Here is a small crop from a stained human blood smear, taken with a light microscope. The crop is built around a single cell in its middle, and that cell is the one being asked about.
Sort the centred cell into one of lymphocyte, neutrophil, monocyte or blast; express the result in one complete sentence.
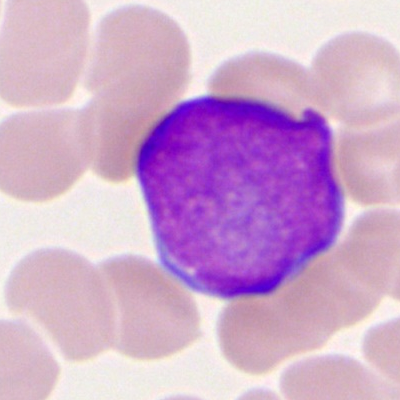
As for the central cell, it is a blast.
